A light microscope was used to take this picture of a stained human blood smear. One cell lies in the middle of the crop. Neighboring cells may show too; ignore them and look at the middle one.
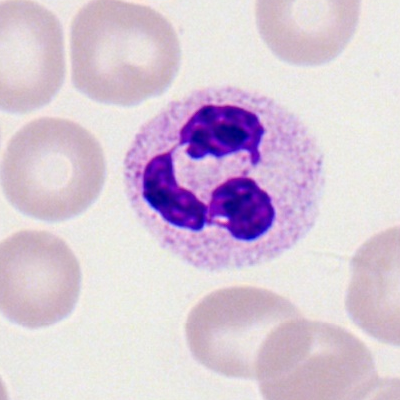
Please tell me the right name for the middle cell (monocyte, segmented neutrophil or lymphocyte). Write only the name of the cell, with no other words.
segmented neutrophil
